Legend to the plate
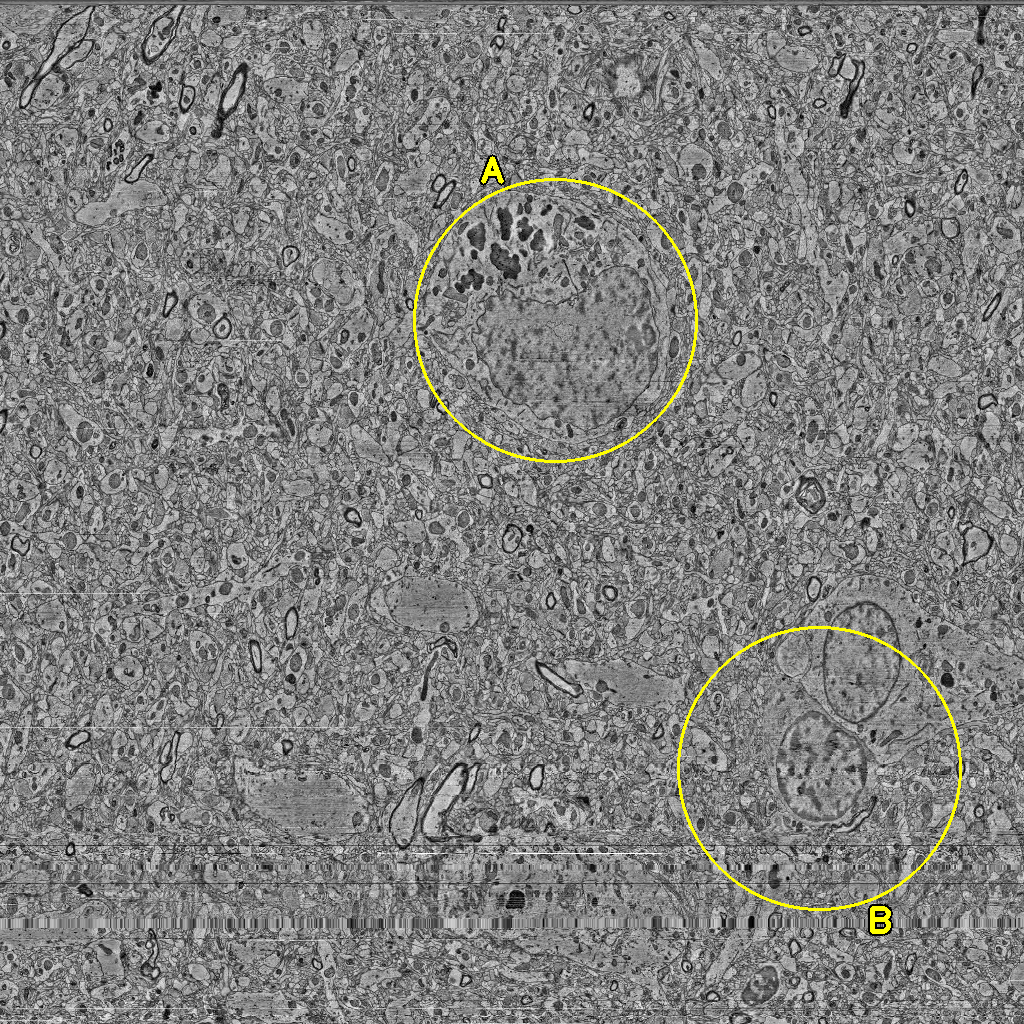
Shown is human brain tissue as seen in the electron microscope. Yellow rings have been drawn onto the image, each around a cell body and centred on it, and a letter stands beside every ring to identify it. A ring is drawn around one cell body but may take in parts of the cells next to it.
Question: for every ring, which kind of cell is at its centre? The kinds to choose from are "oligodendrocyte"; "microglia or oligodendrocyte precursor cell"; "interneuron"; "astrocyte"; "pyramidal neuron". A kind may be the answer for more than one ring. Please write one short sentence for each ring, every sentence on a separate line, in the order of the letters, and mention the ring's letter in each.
The kind of cell at the centre of ring A is an interneuron.
The kind of cell at the centre of ring B is an oligodendrocyte.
